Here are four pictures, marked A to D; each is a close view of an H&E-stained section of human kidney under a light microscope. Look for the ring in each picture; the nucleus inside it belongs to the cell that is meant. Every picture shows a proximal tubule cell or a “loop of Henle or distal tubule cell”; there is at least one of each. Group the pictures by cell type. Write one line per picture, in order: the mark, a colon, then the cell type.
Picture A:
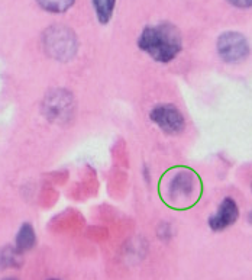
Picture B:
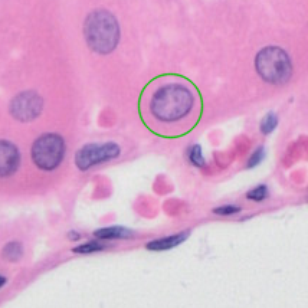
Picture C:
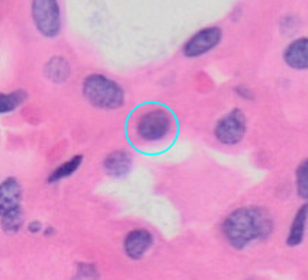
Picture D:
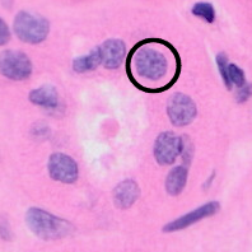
A: loop of Henle or distal tubule cell
B: proximal tubule cell
C: loop of Henle or distal tubule cell
D: loop of Henle or distal tubule cell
